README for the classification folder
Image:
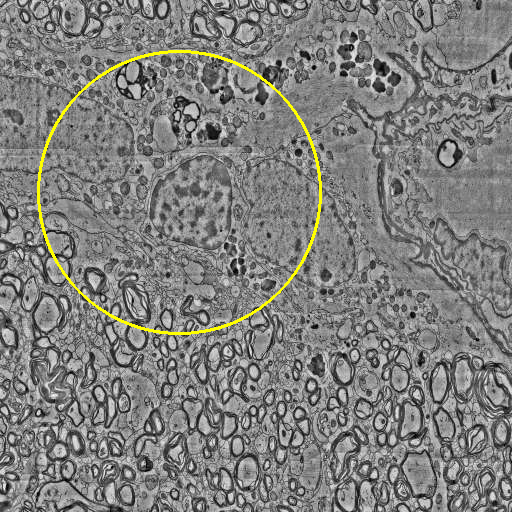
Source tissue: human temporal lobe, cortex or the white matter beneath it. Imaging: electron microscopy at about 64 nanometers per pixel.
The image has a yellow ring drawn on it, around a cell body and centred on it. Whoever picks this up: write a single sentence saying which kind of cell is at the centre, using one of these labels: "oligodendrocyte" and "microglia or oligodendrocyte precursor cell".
This cell body is that of a microglial cell or oligodendrocyte precursor cell.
